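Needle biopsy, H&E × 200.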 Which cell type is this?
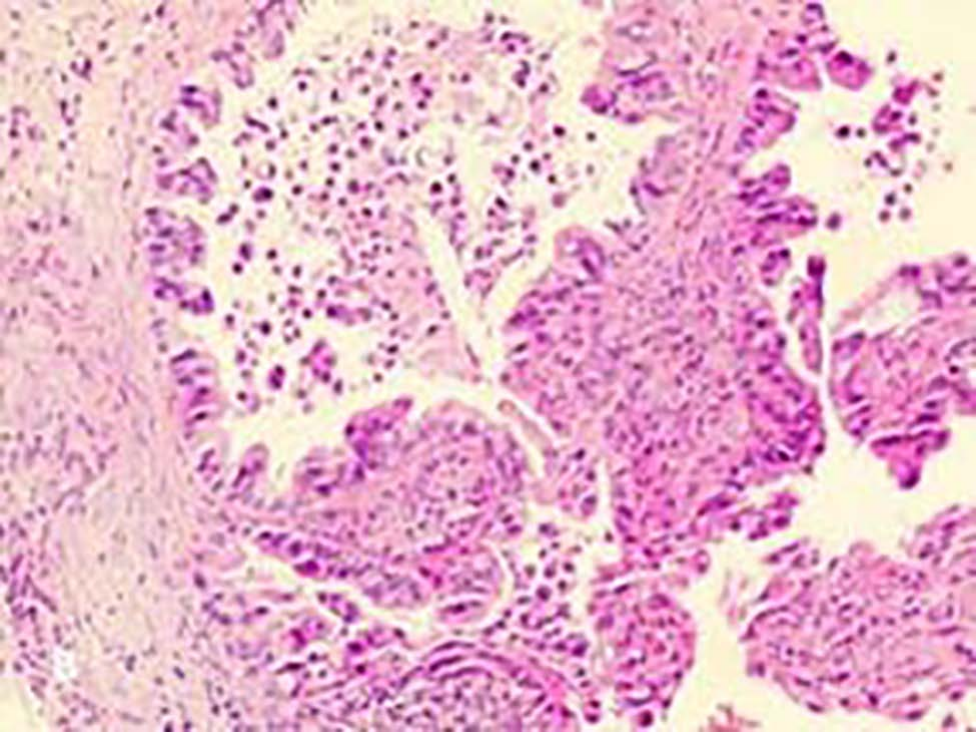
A: columnar cells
